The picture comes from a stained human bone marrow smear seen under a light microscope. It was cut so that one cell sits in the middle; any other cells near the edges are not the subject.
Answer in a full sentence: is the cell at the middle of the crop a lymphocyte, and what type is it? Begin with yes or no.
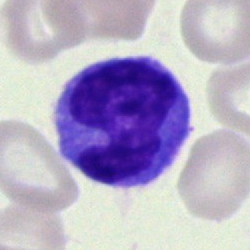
No, what occupies the middle of the crop is a monocyte and not a lymphocyte.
